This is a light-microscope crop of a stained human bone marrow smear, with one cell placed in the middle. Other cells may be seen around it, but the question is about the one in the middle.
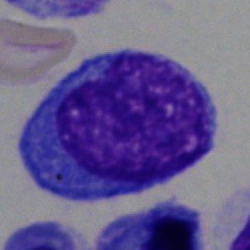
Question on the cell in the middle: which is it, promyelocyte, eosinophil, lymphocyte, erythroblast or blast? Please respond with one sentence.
Standing at the centre of this crop is a blast.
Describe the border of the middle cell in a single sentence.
The border of this cell runs smooth and free of any projections.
